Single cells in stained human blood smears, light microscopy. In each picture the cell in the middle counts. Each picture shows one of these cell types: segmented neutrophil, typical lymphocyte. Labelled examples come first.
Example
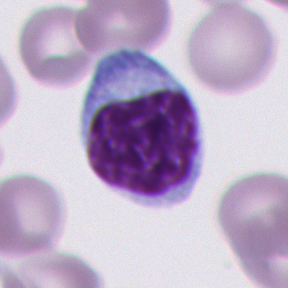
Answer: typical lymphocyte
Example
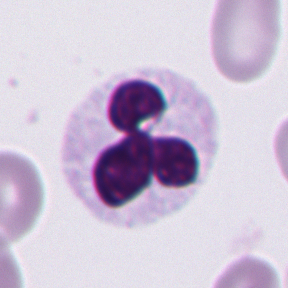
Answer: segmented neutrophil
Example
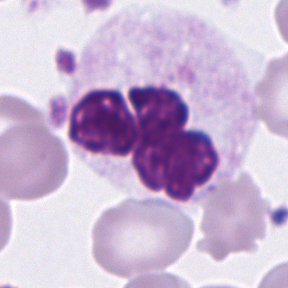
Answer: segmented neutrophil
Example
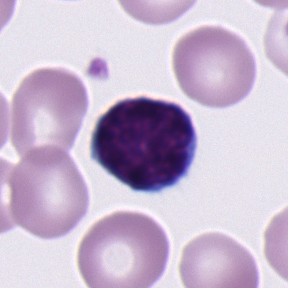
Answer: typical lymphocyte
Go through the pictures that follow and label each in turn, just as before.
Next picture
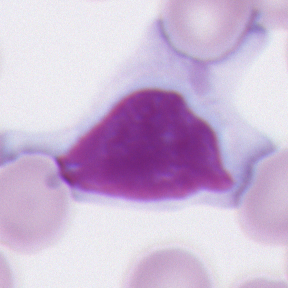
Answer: typical lymphocyte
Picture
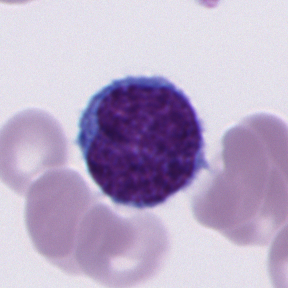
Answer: typical lymphocyte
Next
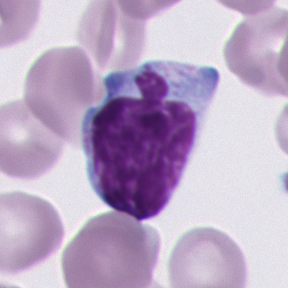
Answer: typical lymphocyte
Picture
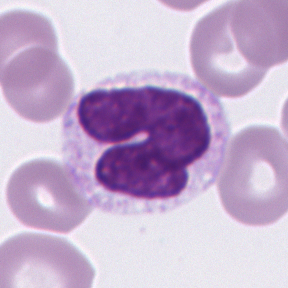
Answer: segmented neutrophil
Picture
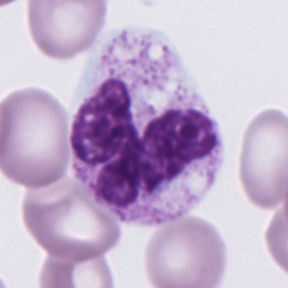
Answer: segmented neutrophil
